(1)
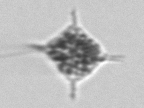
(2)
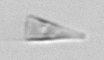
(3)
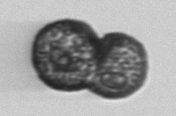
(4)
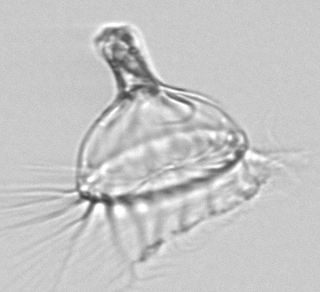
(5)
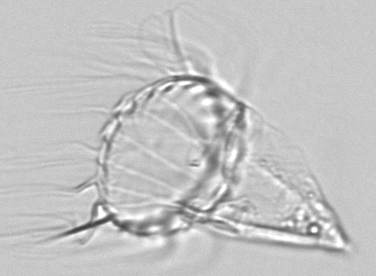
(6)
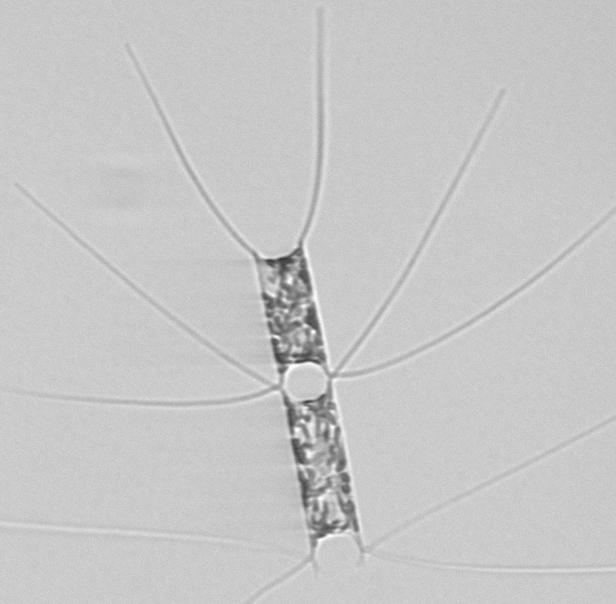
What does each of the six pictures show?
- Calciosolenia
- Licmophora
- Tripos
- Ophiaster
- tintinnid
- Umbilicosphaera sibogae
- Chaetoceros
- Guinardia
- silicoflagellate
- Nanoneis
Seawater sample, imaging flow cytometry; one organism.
Picture 1: silicoflagellate
Picture 2: Licmophora
Picture 3: Umbilicosphaera sibogae
Picture 4: tintinnid
Picture 5: tintinnid
Picture 6: Chaetoceros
